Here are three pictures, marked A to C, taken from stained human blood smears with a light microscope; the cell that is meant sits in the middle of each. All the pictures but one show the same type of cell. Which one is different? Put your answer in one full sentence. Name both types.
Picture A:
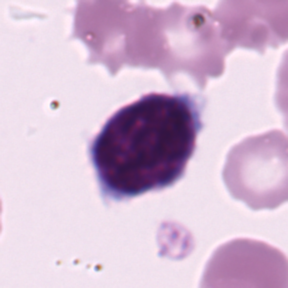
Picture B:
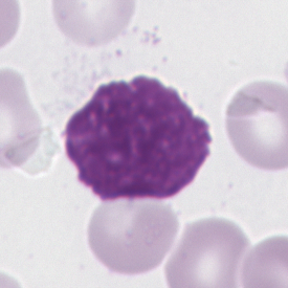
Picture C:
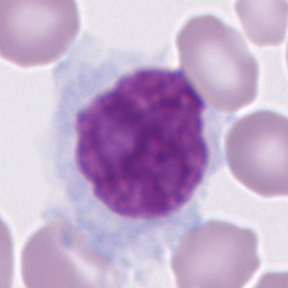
Picture B differs, because its cell is a smudge cell and the rest are hairy cells.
